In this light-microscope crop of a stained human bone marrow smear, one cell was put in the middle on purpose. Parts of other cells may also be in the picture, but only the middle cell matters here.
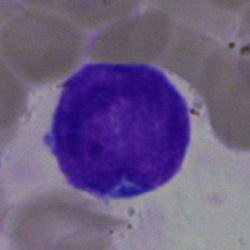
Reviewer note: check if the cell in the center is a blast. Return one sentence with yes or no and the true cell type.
Yes, the centered cell in this field is a blast.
